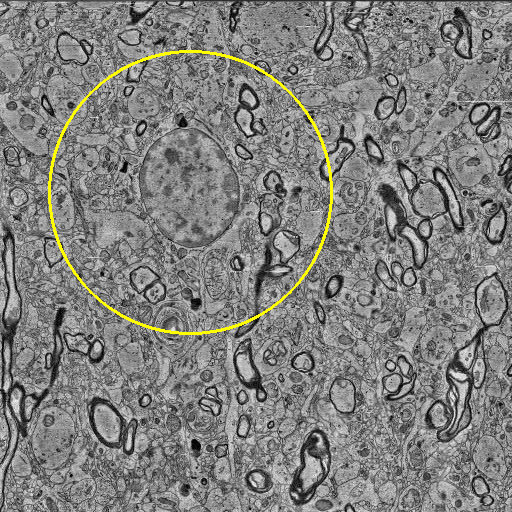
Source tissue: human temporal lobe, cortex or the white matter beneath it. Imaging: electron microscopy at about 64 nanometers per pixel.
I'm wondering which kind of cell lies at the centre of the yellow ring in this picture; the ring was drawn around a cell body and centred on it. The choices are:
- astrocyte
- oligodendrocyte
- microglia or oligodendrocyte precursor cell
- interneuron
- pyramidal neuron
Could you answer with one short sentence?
At the centre of the ring lies a microglial cell or oligodendrocyte precursor cell.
